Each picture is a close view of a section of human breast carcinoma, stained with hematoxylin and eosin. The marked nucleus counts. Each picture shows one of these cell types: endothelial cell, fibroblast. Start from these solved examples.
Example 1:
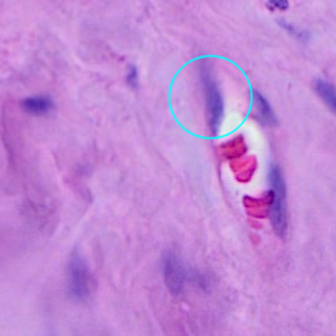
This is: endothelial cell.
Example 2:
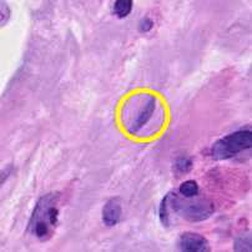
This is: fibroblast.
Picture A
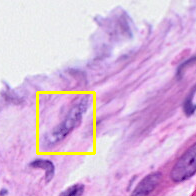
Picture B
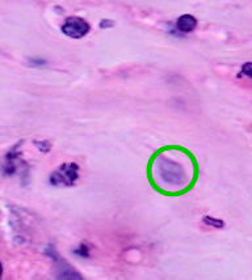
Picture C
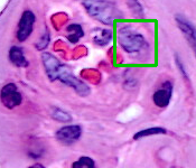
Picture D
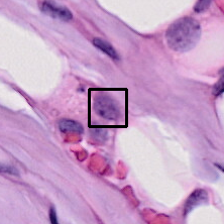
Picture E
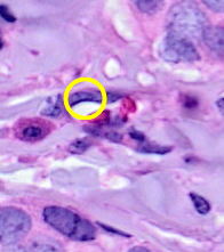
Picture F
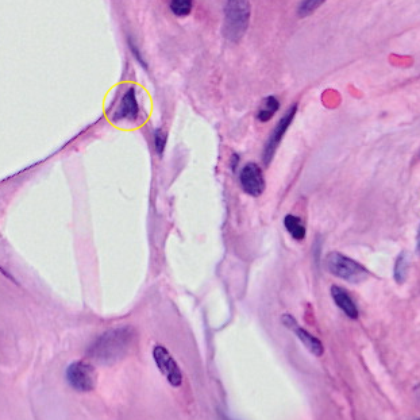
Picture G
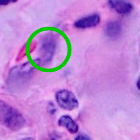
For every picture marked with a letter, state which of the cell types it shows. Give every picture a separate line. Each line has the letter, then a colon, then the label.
A: fibroblast.
B: fibroblast.
C: endothelial cell.
D: endothelial cell.
E: endothelial cell.
F: fibroblast.
G: endothelial cell.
